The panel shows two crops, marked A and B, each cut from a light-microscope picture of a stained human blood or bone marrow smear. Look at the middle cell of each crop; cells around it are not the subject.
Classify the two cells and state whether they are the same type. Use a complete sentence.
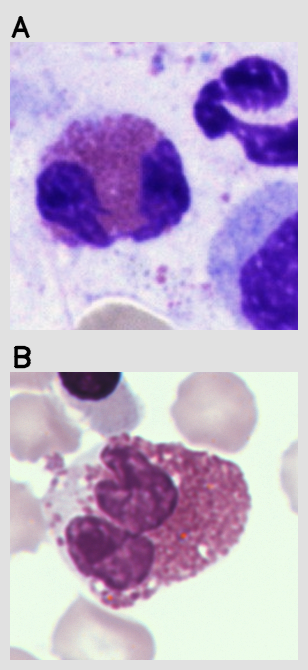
Yes, the pair of crops both show eosinophils.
